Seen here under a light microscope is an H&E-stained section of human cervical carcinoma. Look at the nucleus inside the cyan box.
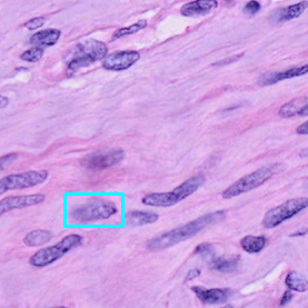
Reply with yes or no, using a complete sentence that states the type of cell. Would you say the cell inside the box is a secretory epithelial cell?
No, the cell inside the box is a smooth muscle cell, and it is not a secretory epithelial cell.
